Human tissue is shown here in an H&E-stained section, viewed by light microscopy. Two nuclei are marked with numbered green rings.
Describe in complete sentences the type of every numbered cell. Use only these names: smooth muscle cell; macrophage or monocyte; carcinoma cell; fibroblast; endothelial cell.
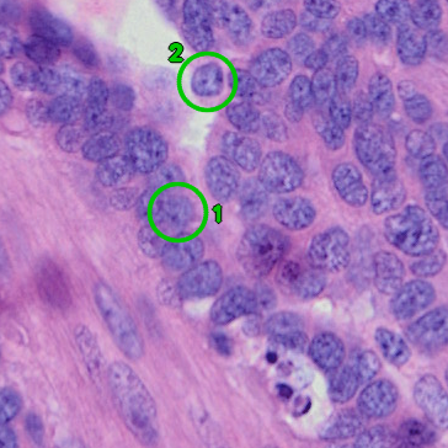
Cell 1 is a carcinoma cell. Cell 2 is a macrophage or monocyte.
